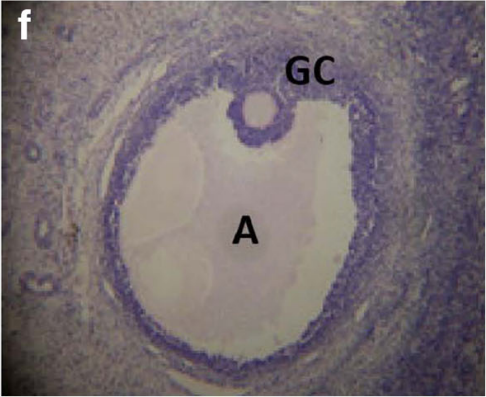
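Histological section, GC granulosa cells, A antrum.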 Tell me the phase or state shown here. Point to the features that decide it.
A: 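A very large cavity fills most of the follicle. The cell wall around the cavity is thin relative to the cavity. The oocyte sits on a small stalk of cells projecting into the cavity. On this evidence: Pre-ovulatory follicle.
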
